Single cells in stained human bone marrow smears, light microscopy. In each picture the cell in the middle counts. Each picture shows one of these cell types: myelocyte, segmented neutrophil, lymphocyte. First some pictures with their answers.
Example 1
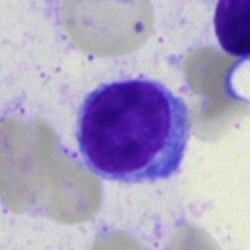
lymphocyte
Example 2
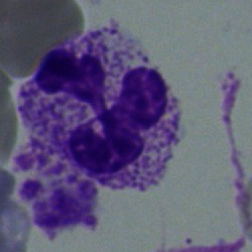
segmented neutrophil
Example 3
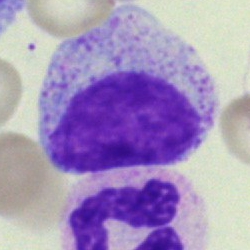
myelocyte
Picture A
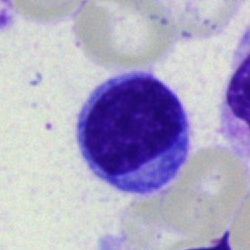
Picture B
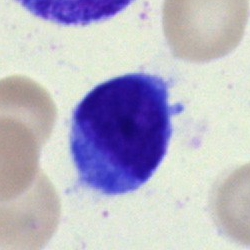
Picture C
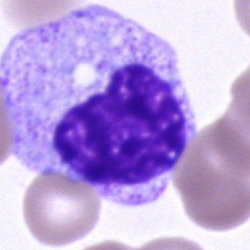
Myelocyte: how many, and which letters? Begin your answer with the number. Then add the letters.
1: C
